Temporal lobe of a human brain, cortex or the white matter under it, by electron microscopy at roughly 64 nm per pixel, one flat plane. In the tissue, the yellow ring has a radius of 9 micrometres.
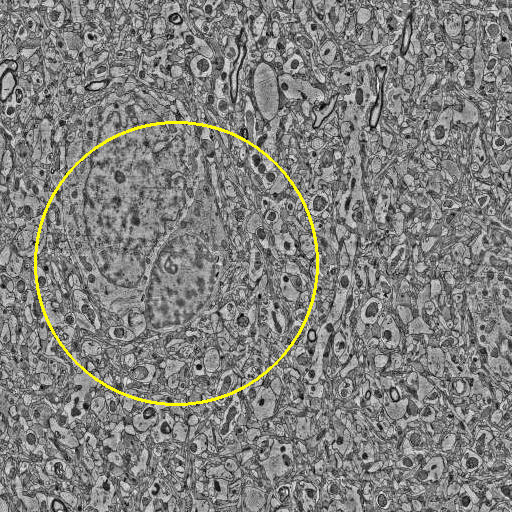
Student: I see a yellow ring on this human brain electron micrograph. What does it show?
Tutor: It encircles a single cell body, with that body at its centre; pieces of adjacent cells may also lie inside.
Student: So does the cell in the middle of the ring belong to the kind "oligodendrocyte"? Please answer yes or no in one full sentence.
Yes, the cell in the middle of that yellow ring belongs to this kind.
